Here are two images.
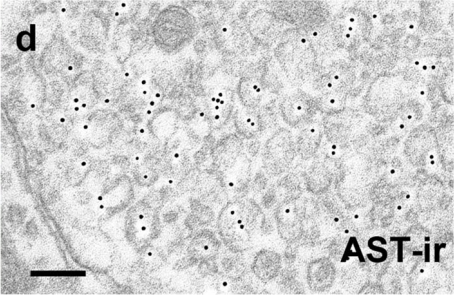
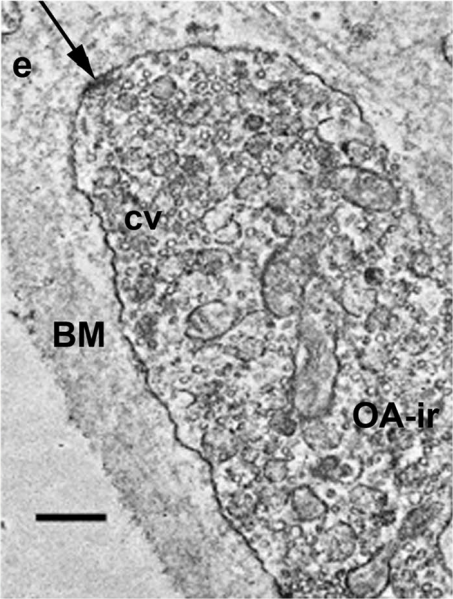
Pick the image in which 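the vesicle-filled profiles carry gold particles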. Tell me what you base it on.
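The first image. Second image: no black gold dots over the vesicle-filled profile. First image: numerous black gold dots over the vesicle-filled profiles.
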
